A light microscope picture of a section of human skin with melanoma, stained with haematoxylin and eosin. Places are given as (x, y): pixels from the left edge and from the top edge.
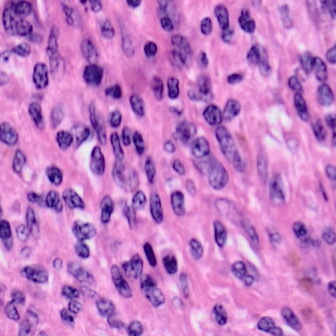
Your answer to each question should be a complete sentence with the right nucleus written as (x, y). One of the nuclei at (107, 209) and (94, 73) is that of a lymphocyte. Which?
Of the pair, the nucleus located at (107, 209) belongs to a lymphocyte.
